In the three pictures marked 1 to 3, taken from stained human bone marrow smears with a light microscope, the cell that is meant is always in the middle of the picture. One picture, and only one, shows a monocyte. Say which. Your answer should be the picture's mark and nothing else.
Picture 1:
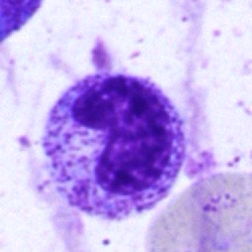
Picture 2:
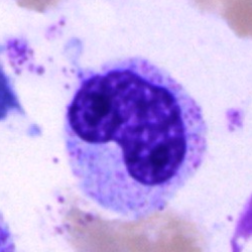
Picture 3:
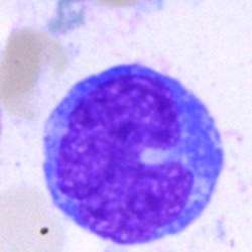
3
